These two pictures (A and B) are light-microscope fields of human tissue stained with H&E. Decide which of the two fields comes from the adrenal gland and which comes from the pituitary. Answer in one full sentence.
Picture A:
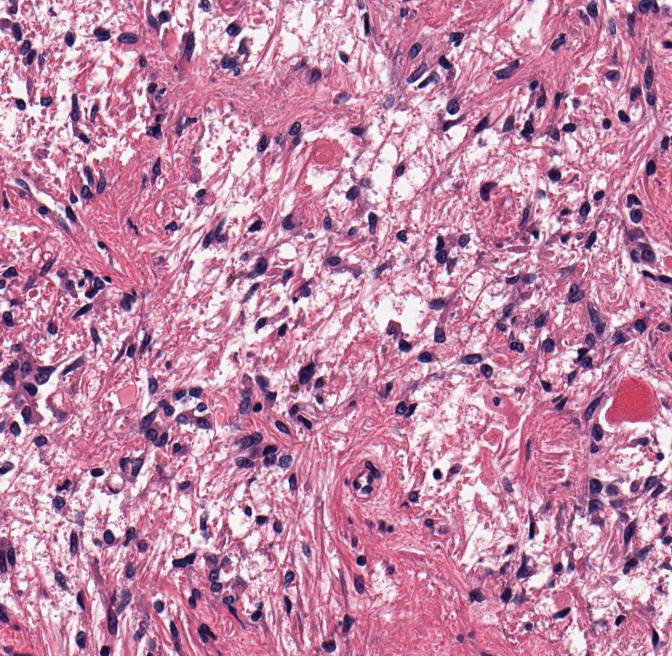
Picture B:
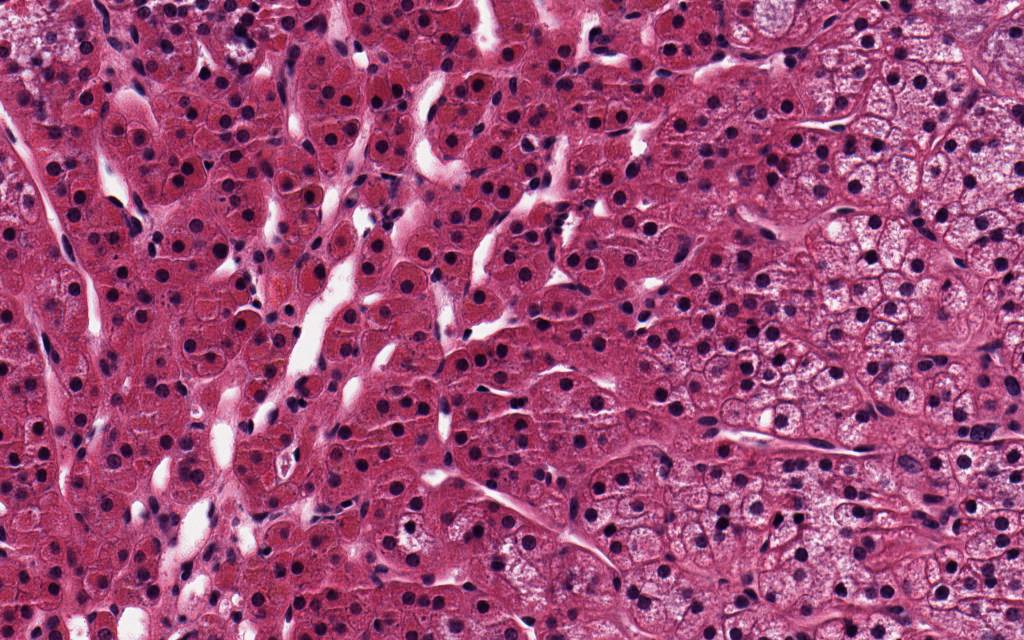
Picture A comes from the pituitary; picture B comes from the adrenal gland.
